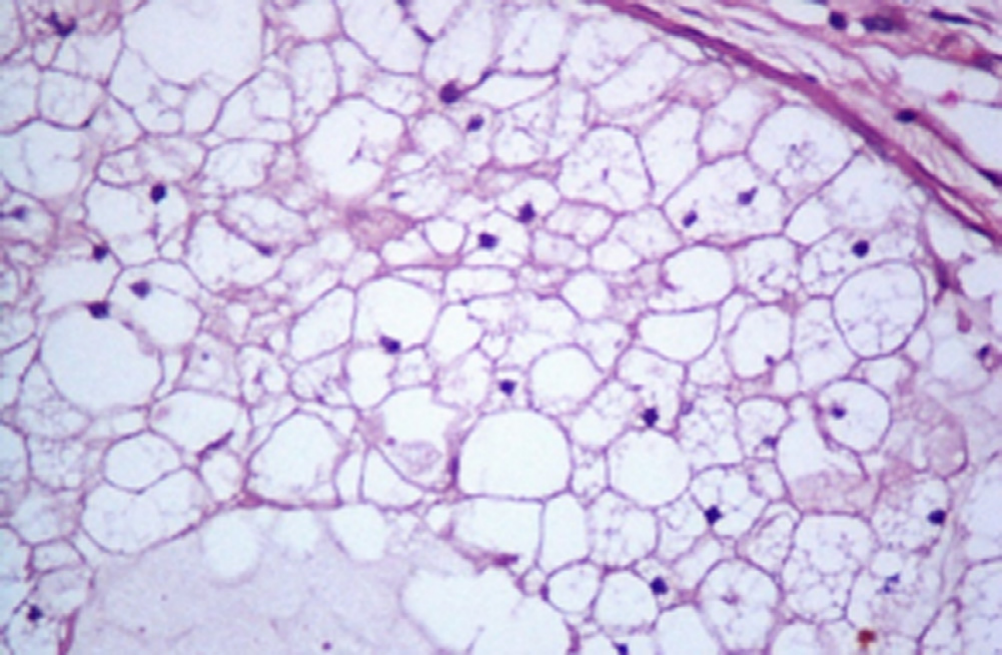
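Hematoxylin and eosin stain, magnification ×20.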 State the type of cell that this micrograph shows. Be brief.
Physaliphorous tumor cells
